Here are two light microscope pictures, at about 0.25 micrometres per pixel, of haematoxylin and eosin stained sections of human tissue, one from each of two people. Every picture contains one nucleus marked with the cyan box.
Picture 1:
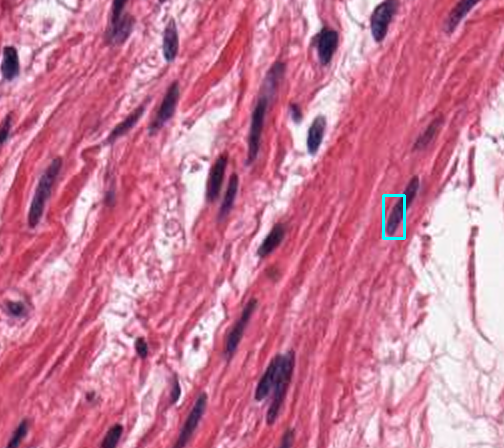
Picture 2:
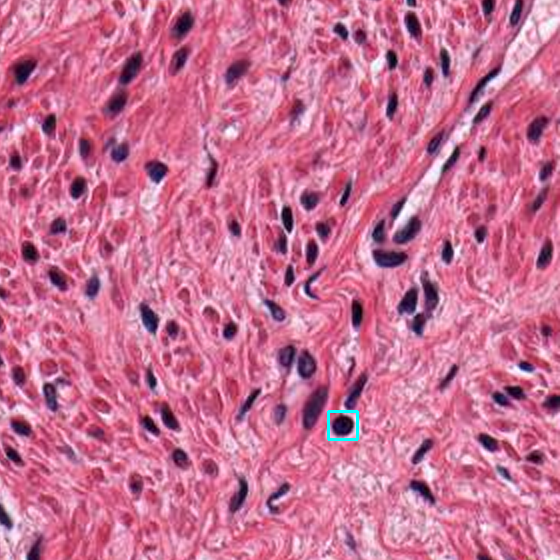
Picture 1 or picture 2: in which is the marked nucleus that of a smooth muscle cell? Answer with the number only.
1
